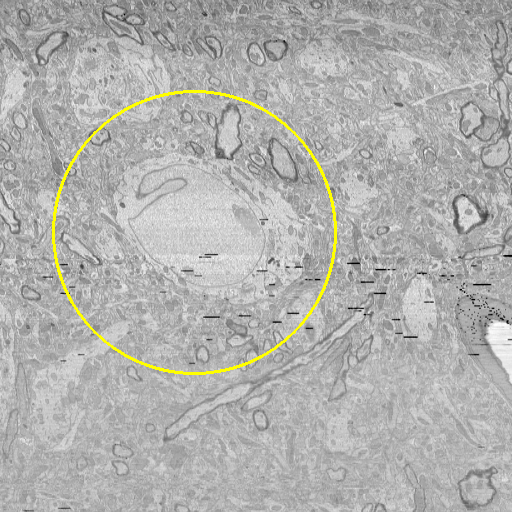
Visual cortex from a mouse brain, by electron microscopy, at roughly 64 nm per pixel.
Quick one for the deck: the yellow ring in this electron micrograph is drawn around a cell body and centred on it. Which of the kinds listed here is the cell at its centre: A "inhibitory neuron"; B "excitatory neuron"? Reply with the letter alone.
B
